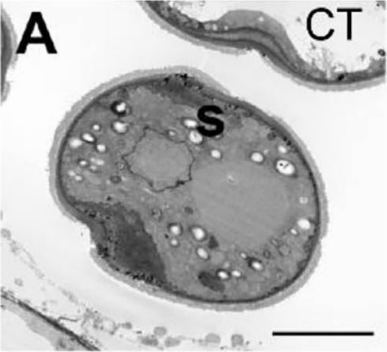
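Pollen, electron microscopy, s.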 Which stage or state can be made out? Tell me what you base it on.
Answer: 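A dark lens-shaped cell lies pressed against the grain wall at lower left. The rest of the grain holds a larger cell with scattered small white granules. The answer: Early bicellular.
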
